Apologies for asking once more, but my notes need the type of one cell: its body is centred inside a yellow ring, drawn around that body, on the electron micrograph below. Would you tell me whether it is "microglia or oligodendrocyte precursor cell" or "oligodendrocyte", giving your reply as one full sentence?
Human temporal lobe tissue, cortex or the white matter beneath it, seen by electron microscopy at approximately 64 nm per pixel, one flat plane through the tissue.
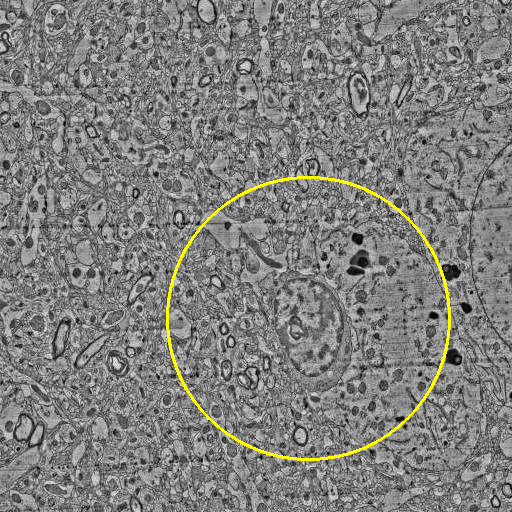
The cell that the yellow ring is centred on is an oligodendrocyte in this micrograph.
